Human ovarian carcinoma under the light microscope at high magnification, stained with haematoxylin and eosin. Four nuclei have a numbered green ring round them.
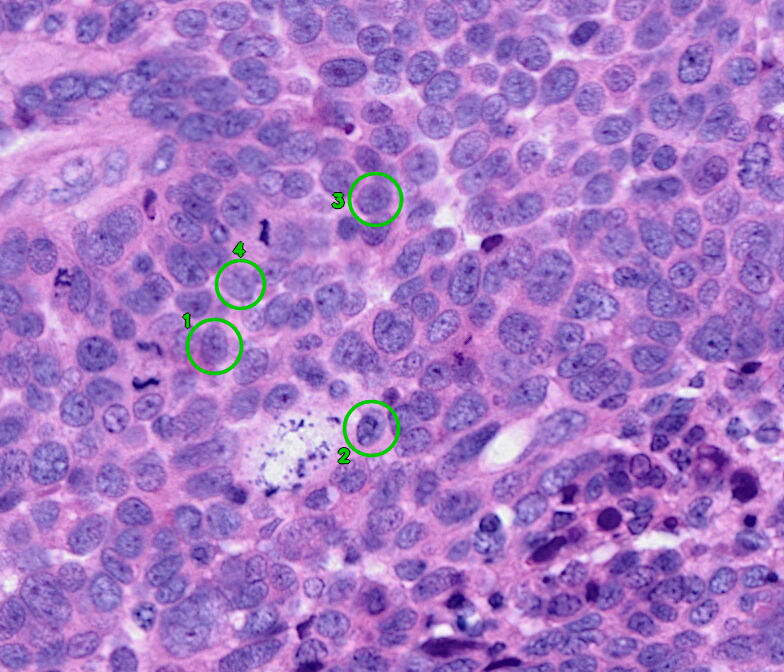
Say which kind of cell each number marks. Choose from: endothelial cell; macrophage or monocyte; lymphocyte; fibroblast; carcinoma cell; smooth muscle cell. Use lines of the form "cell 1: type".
cell 1: carcinoma cell
cell 2: macrophage or monocyte
cell 3: carcinoma cell
cell 4: carcinoma cell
